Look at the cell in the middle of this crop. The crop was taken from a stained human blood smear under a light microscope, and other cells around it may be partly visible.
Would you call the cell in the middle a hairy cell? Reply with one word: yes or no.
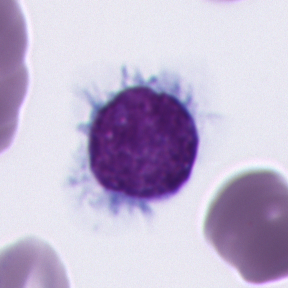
yes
